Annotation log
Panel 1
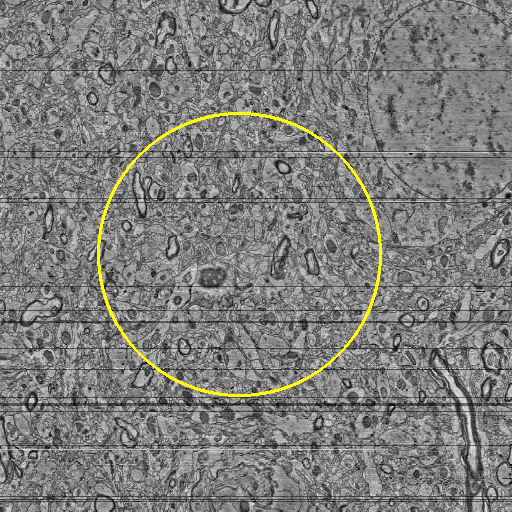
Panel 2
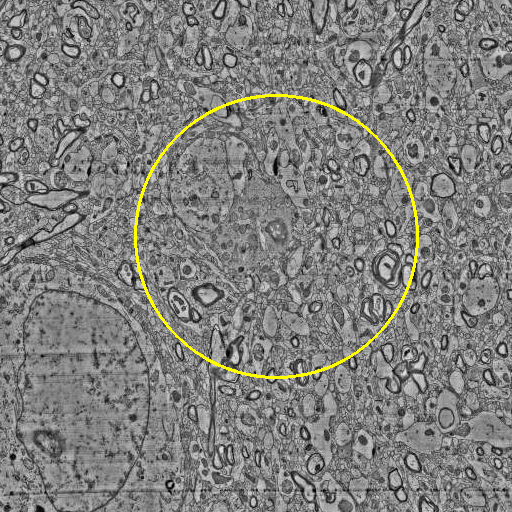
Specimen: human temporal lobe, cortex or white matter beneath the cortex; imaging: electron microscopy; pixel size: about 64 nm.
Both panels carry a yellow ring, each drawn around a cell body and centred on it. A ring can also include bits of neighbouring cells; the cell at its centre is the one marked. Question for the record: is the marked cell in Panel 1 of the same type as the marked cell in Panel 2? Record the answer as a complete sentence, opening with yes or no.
No, the marked cells in Panel 1 and Panel 2 are of two types.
